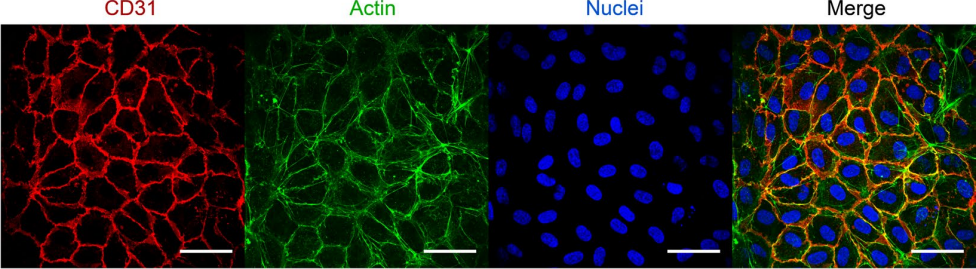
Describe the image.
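The cells are flat and polygonal and fit together like cobblestones, with no gaps between them. Red lines trace the borders where neighbouring cells meet. Green filaments run along the same borders and also cross some cells as fine fibres. Each cell has one oval blue nucleus lying near its middle.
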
